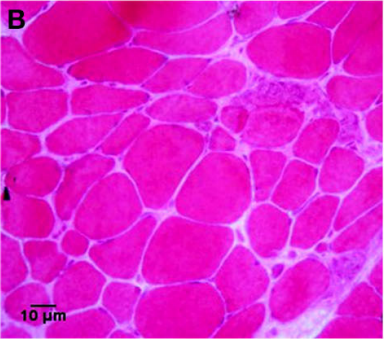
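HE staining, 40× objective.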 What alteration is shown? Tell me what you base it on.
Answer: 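Fibers in cross-section range from small to very large. Large fibers are rounded. So: muscle fibers were significantly different in size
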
